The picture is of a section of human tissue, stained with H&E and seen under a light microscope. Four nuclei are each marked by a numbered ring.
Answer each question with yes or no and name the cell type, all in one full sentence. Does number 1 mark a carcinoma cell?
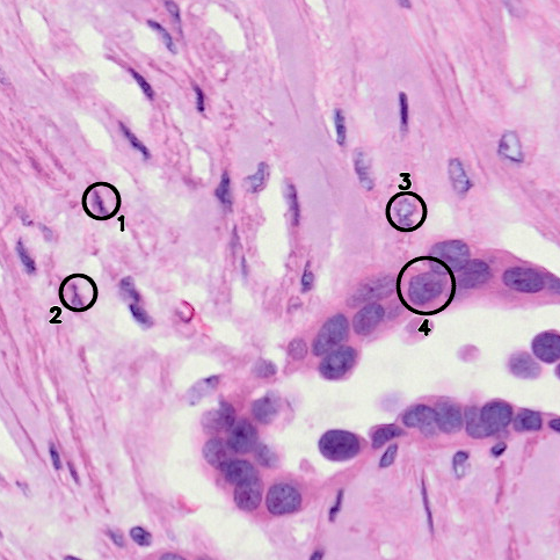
No, cell 1 is not to be taken for a carcinoma cell; it is a fibroblast.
